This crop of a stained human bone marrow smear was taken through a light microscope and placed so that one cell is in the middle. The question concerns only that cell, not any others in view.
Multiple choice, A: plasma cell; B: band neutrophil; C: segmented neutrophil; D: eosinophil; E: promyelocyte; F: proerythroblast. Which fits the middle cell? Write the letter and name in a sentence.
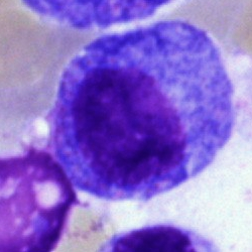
Occupying the middle of the crop is a promyelocyte, hence option E is correct.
